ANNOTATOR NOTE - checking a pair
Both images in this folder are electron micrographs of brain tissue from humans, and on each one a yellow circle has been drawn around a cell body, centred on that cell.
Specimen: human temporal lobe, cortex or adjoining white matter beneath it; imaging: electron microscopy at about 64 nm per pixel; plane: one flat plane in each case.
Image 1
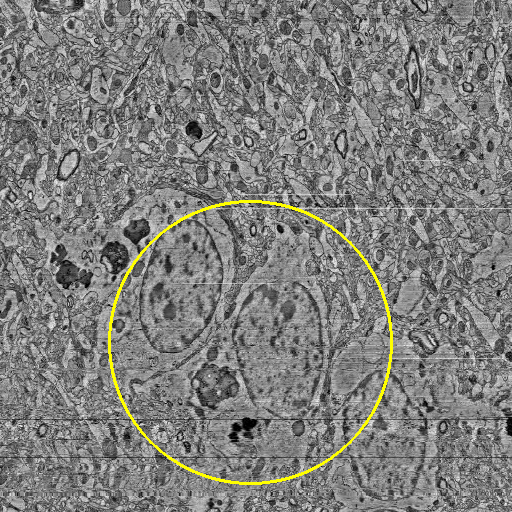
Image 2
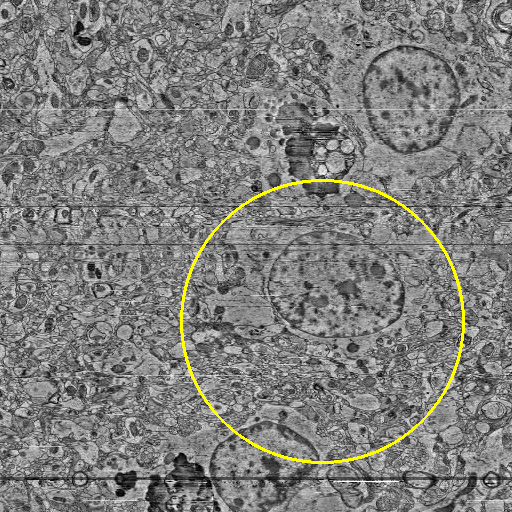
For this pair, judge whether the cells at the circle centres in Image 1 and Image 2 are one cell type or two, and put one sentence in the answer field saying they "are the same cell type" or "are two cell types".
For this pair, the cells at the circle centres in Images 1 and 2 are the same cell type.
